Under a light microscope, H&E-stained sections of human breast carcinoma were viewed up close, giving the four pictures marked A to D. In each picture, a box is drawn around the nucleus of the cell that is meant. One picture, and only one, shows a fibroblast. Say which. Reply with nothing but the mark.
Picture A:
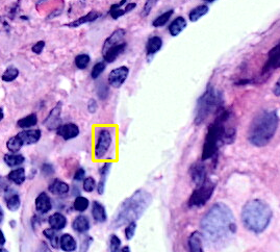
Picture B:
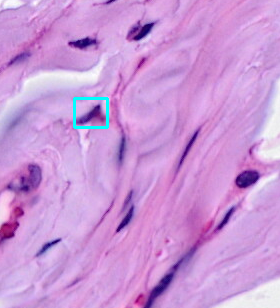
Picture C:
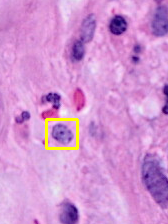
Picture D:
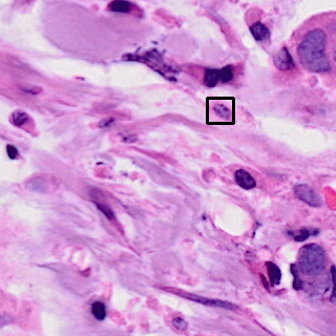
B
